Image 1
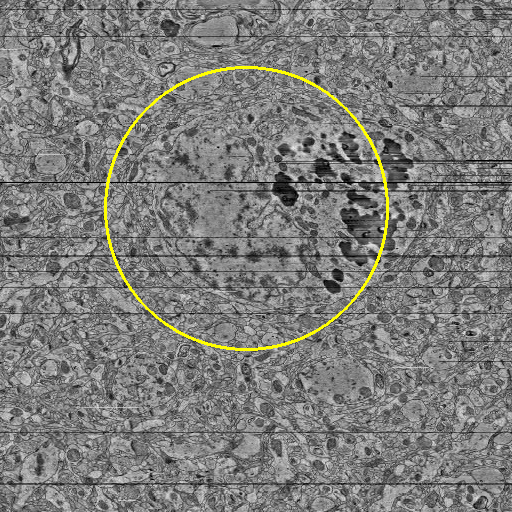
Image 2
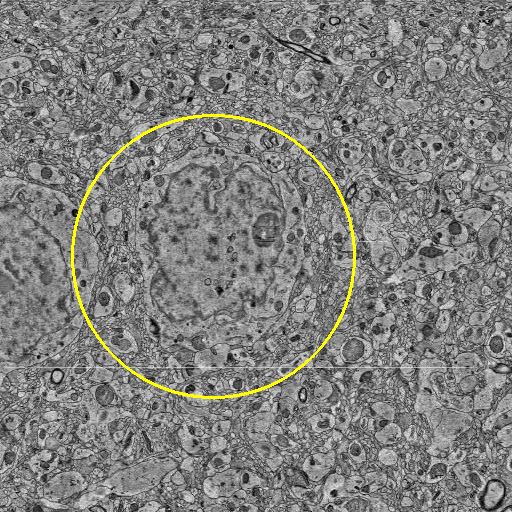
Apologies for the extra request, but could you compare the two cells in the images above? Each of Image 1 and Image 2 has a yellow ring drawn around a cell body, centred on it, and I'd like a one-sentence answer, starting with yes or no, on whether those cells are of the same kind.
Yes, both cells are of the same kind.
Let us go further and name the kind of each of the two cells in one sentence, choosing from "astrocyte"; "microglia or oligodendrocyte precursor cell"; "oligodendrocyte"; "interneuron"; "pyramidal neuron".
Both the first and the second picture show an interneuron in the ring.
